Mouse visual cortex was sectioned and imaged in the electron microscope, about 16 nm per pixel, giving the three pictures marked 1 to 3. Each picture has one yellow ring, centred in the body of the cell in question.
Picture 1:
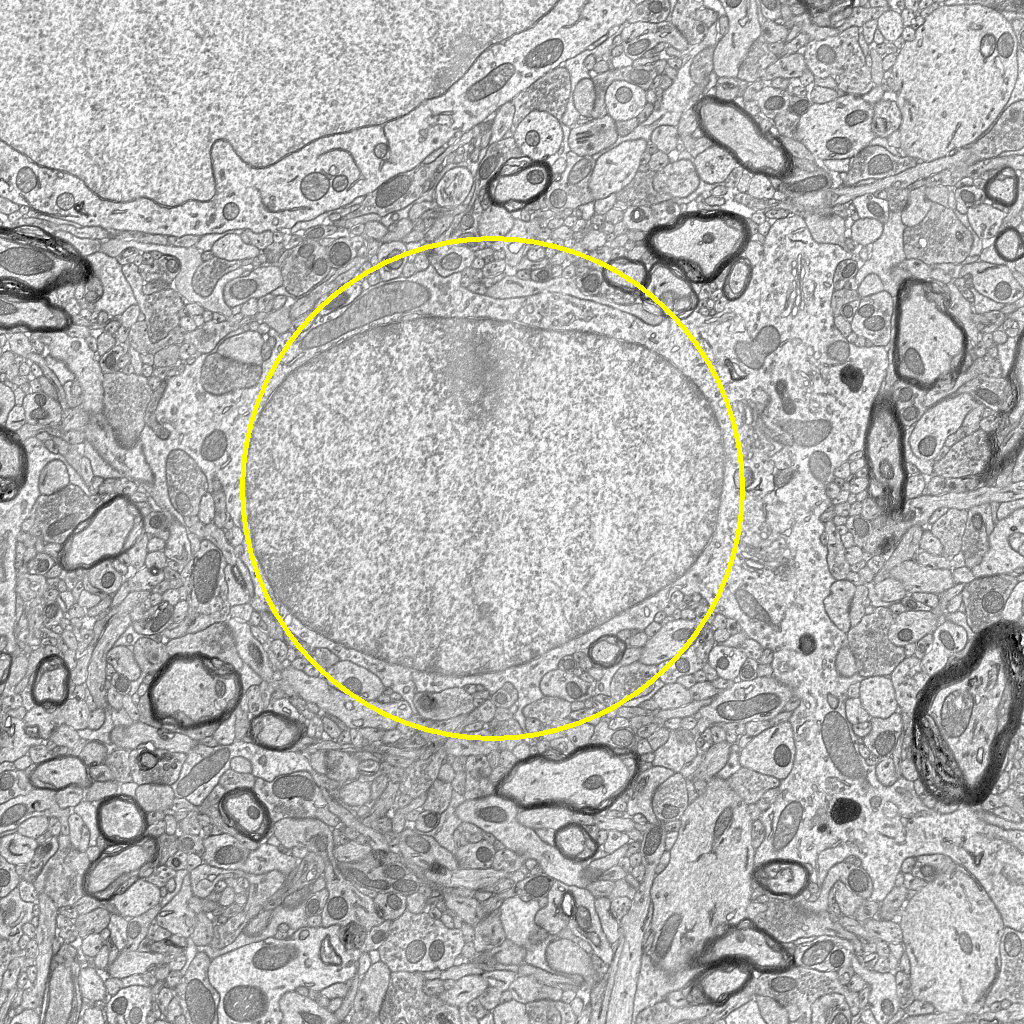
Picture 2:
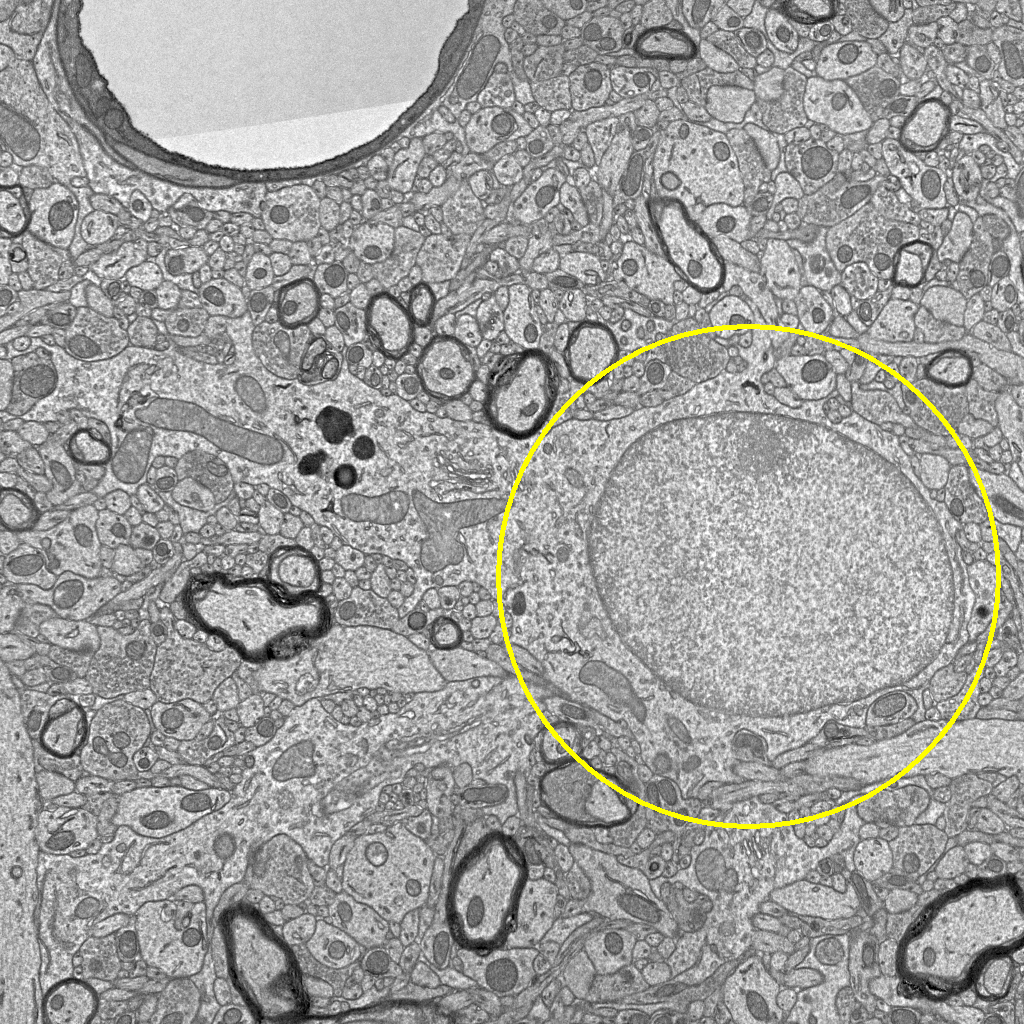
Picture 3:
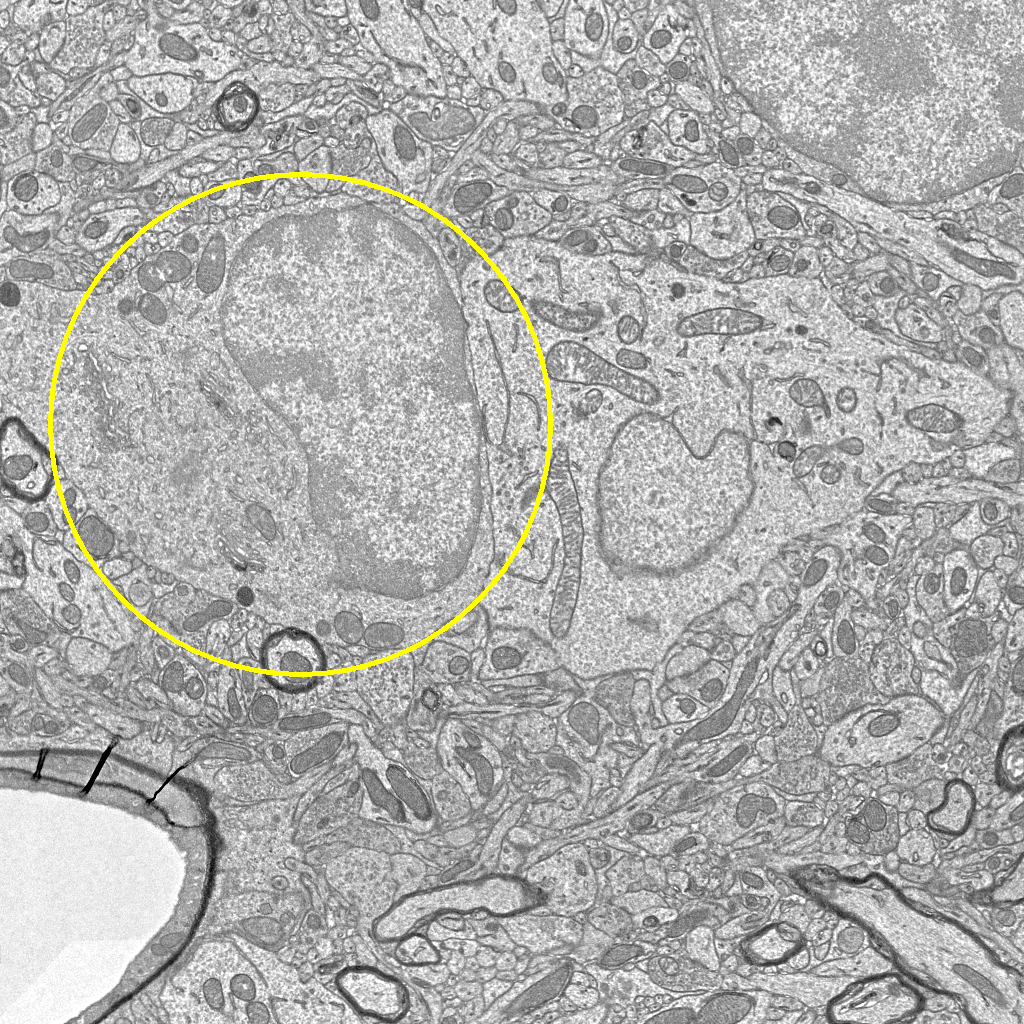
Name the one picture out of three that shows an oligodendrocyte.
The cell in picture 3 is the oligodendrocyte.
